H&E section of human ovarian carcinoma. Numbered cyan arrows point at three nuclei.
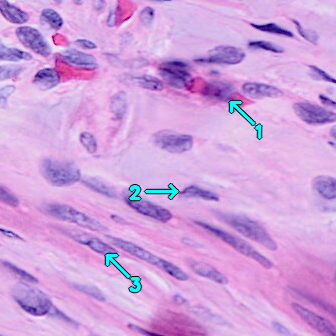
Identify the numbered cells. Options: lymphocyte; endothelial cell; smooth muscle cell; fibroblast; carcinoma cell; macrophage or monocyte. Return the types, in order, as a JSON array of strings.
["endothelial cell", "fibroblast", "smooth muscle cell"]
